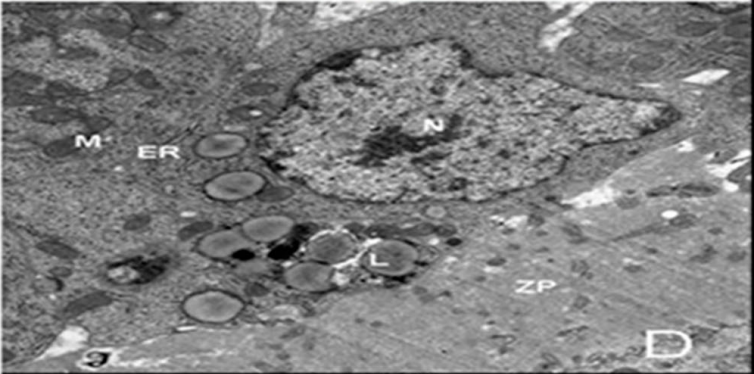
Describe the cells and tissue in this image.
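Electron micrograph of a cumulus cell with an irregular nucleus holding dispersed chromatin and a dark central clump. Its cytoplasm contains mitochondria, endoplasmic reticulum and a cluster of round, homogeneous grey lipid droplets, some with darker contents. The cell borders a broad, finely textured extracellular zone.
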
